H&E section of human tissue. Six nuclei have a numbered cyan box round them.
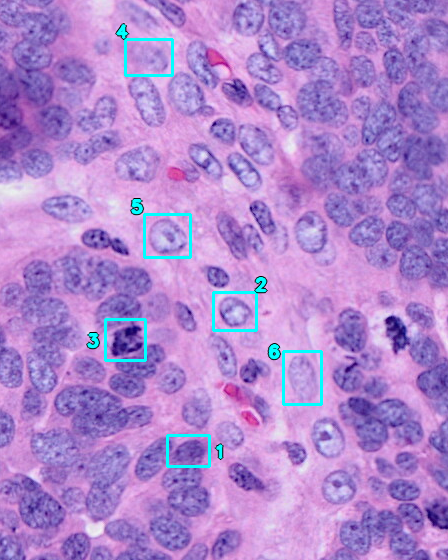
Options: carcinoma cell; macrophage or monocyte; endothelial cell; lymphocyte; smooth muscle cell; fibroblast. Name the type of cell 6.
fibroblast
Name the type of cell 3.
carcinoma cell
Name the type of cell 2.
fibroblast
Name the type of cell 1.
carcinoma cell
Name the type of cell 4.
fibroblast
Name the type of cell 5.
fibroblast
